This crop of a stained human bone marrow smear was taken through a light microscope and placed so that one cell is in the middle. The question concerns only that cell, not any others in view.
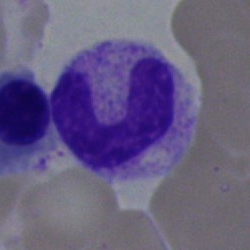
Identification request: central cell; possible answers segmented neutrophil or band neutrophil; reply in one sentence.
The cell featured at the centre of this crop is a band neutrophil.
